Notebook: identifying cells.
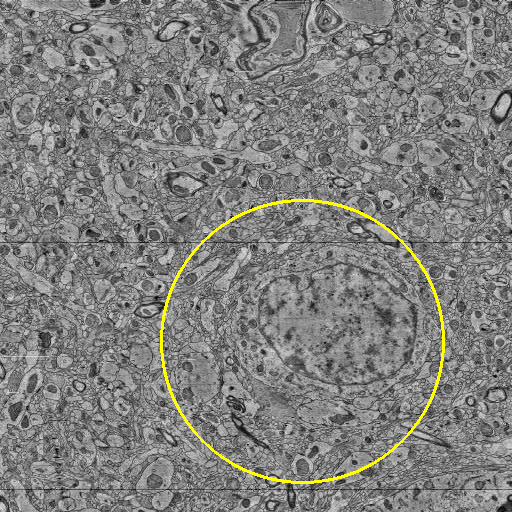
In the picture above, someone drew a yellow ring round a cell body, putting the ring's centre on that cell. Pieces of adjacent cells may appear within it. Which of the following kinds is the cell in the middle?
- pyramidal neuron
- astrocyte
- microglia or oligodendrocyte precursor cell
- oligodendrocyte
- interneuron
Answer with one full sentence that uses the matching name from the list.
In this picture, the yellow ring is centred on the body of an interneuron.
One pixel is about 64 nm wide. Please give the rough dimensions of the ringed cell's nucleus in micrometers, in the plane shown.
In this plane the nucleus measures roughly 10 by 8 micrometres.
